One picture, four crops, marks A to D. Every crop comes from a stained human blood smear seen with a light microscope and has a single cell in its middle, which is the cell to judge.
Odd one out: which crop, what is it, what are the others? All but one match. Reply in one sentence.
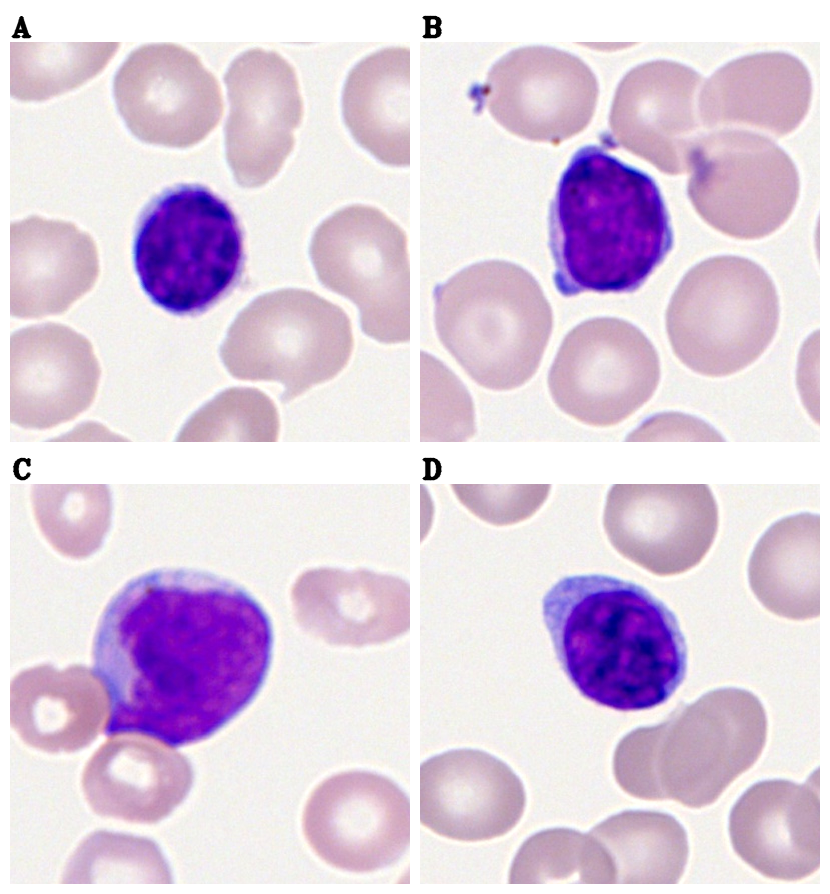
While crop C shows a myeloblast, the other crops all show lymphocytes.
